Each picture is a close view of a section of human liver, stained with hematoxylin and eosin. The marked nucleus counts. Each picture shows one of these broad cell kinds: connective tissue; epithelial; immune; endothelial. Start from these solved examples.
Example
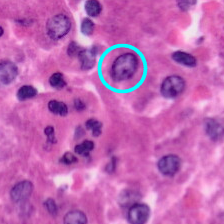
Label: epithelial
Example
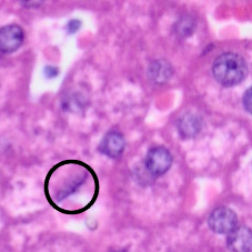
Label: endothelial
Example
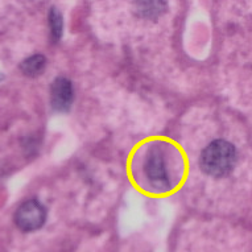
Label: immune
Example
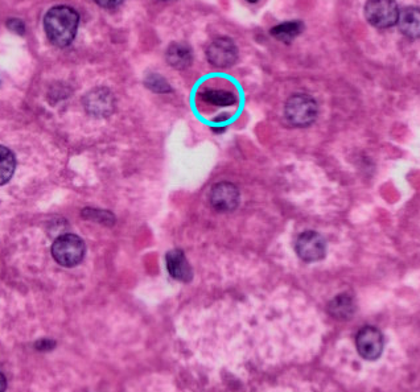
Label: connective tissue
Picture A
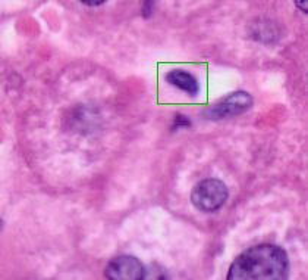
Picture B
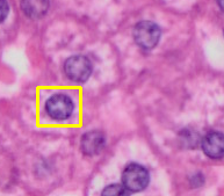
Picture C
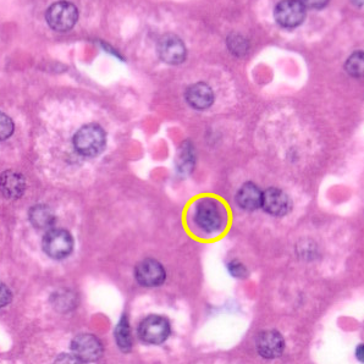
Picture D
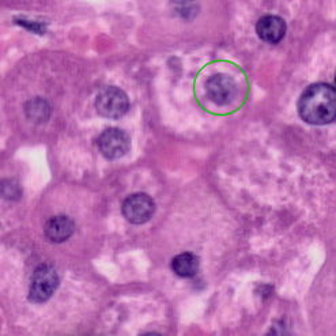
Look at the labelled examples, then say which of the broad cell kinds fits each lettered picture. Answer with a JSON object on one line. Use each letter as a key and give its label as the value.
{"A": "immune", "B": "epithelial", "C": "connective tissue", "D": "epithelial"}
